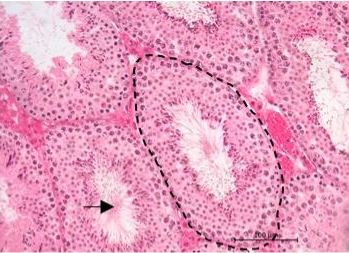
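This is a section of testis showing several tubules cut across, each lined by a thick, many-layered epithelium. The epithelium is crowded with round, dark purple nuclei stacked from the outer edge of the tubule towards its centre. The centre of each tubule is a pale lumen filled with fine, pale pink, thread-like wisps that stream inward. One tubule is traced along its outer edge, where the basement membrane marks the boundary between the epithelium and the surrounding tissue. Between the tubules lies a narrow pink interstitial space, and beside the outlined tubule a small vessel packed with red blood cells can be seen.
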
